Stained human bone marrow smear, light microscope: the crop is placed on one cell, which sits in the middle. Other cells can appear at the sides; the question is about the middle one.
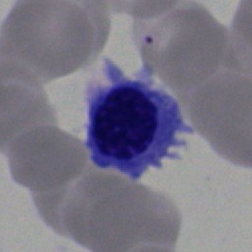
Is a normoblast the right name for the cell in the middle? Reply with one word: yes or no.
yes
